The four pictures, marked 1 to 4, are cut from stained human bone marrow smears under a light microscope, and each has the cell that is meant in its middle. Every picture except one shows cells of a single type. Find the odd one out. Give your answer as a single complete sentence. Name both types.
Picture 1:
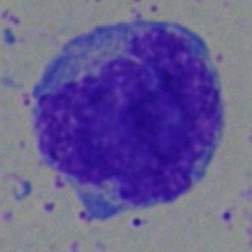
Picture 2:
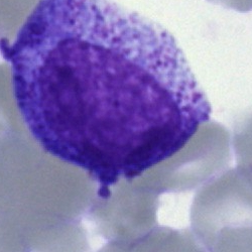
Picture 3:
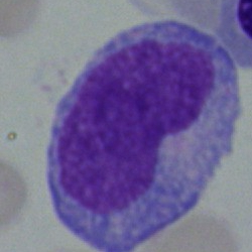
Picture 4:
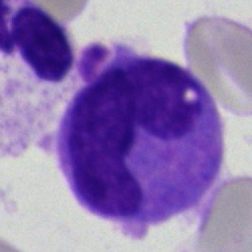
Picture 2 is the odd one out: it shows a promyelocyte, while the others show monocytes.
